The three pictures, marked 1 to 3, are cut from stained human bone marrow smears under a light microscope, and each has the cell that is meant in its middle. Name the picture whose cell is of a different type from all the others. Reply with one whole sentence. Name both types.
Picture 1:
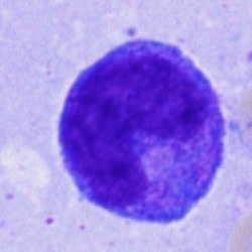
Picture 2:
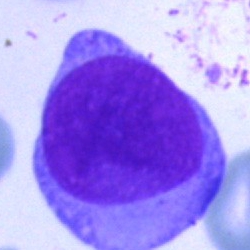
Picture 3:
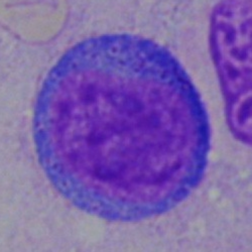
Picture 1 is the odd one out: it shows a promyelocyte, while the others show blasts.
